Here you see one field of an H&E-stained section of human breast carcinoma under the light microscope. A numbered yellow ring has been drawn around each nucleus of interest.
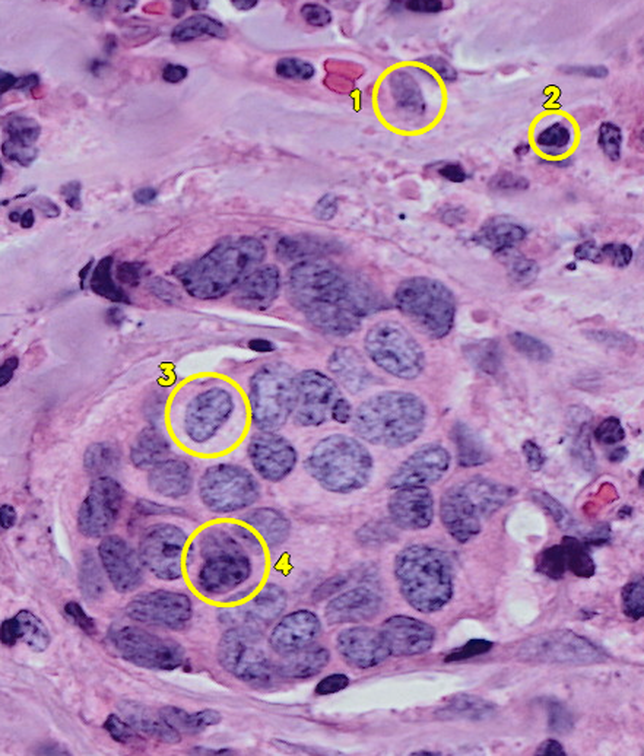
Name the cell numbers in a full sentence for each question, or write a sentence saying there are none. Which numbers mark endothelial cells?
Cell 1 is an endothelial cell, while every other numbered cell is not.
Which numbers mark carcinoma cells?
To be specific, the cells numbered 3 and 4 are carcinoma cells.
